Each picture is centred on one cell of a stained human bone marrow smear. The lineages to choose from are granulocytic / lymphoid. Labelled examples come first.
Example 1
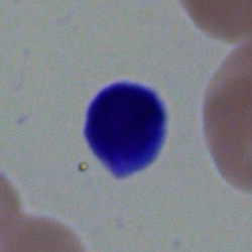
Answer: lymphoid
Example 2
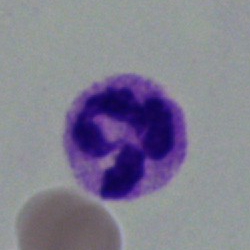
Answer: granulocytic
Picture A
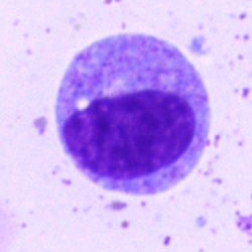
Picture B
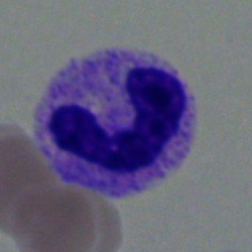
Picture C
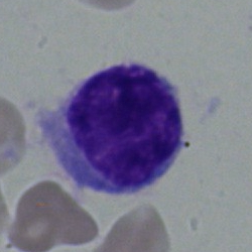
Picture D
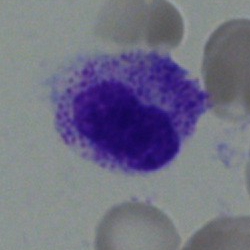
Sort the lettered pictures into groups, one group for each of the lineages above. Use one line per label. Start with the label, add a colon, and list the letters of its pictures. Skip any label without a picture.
granulocytic: A, B, D
lymphoid: C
